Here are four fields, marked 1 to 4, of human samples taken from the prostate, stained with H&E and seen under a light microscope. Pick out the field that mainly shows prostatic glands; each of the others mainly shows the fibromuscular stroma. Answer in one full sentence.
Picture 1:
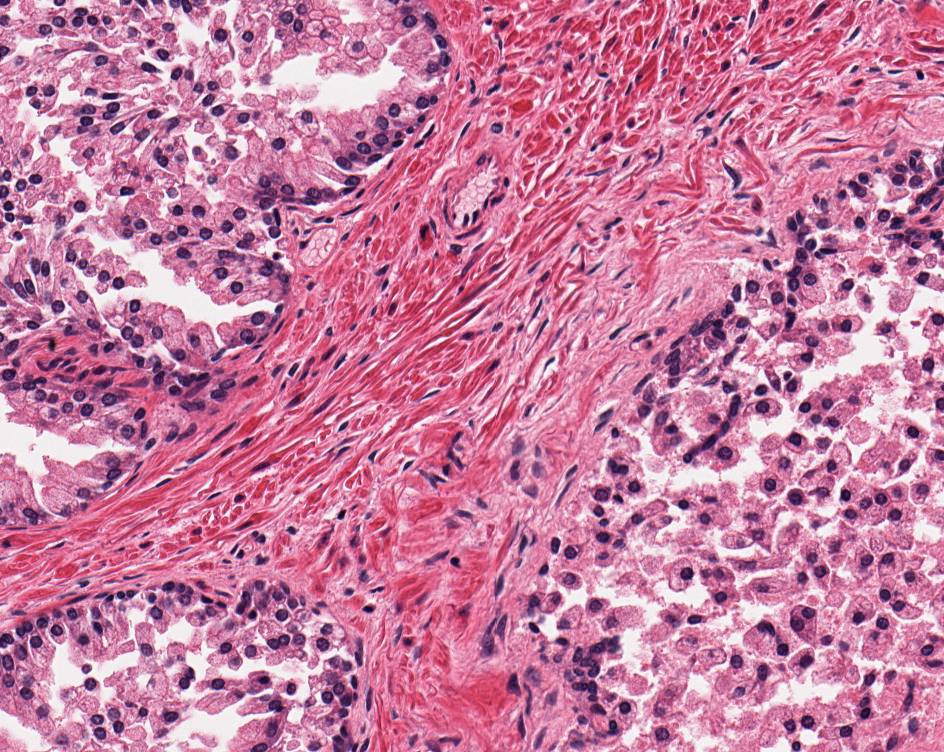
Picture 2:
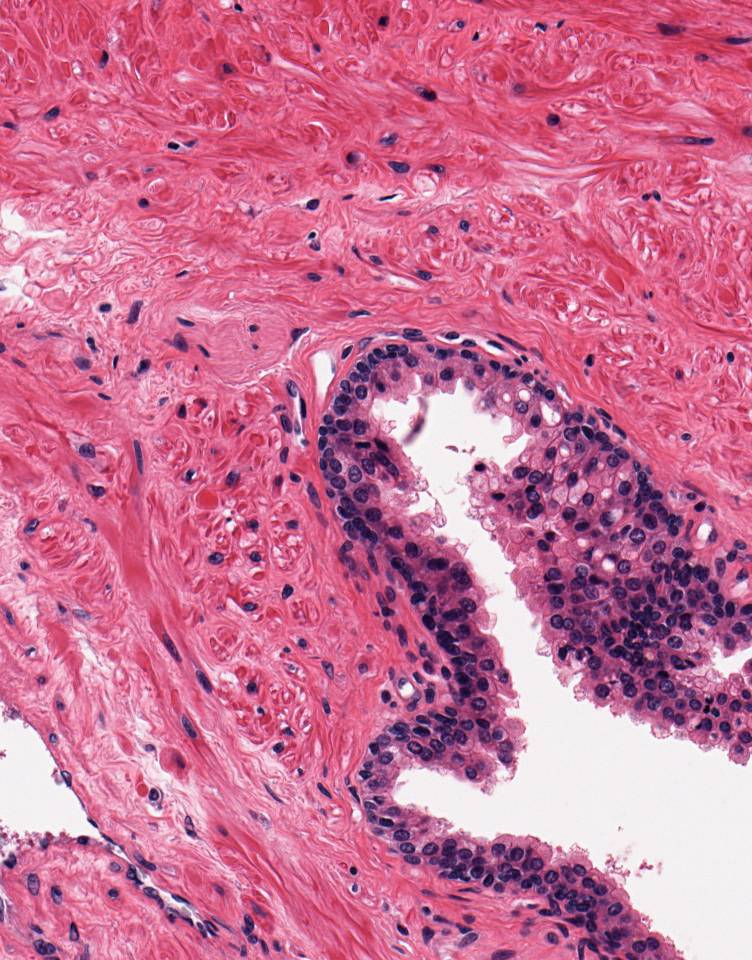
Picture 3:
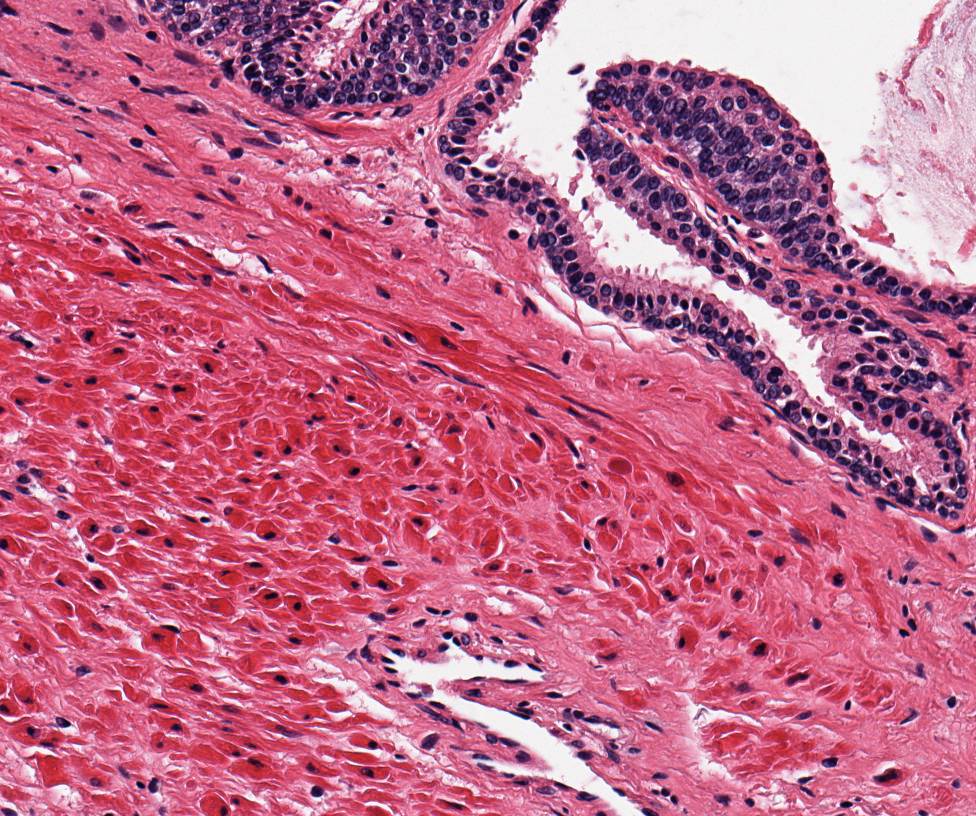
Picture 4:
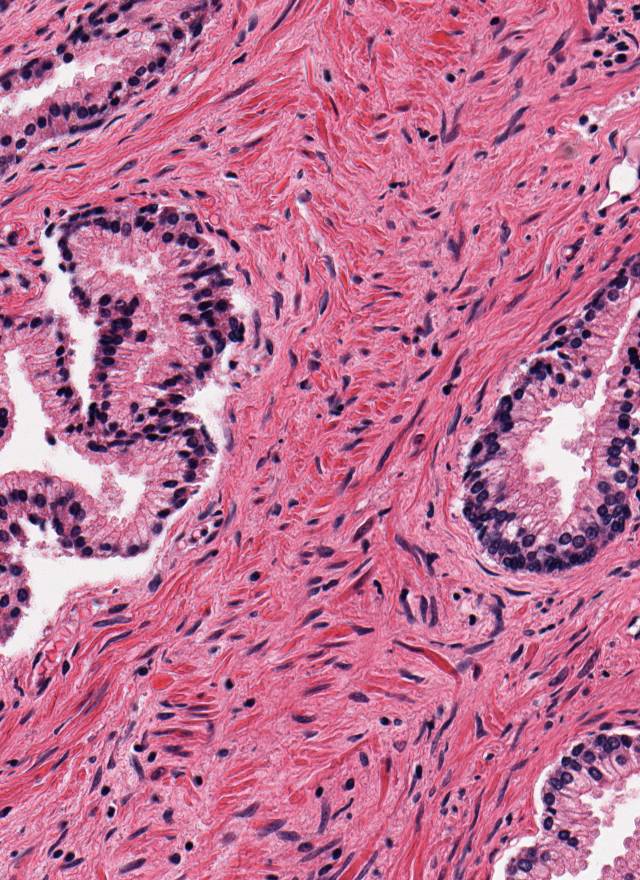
The one that mainly shows prostatic glands is picture 1.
